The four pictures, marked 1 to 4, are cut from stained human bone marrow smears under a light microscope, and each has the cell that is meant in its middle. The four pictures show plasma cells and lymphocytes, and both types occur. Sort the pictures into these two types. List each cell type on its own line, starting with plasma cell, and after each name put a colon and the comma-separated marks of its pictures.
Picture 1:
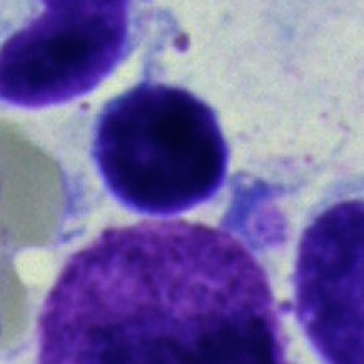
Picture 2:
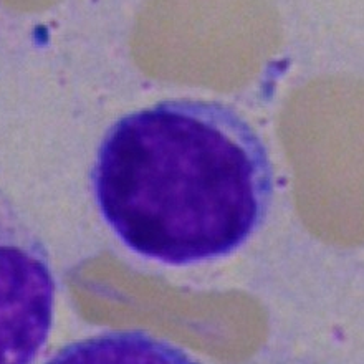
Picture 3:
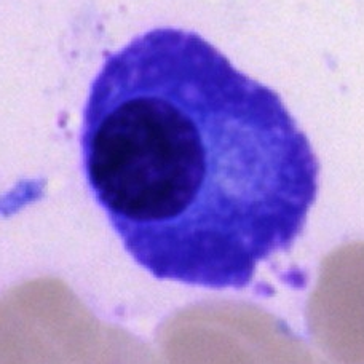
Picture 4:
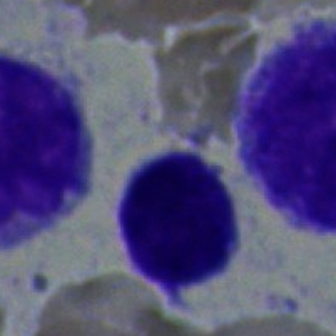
plasma cell: 3
lymphocyte: 1, 2, 4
